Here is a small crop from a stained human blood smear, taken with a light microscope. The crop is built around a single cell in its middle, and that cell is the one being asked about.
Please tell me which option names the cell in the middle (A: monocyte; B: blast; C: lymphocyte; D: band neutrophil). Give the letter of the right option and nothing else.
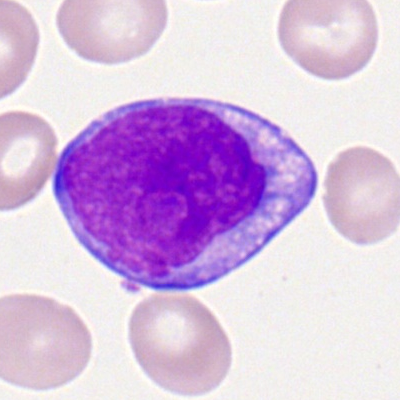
B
